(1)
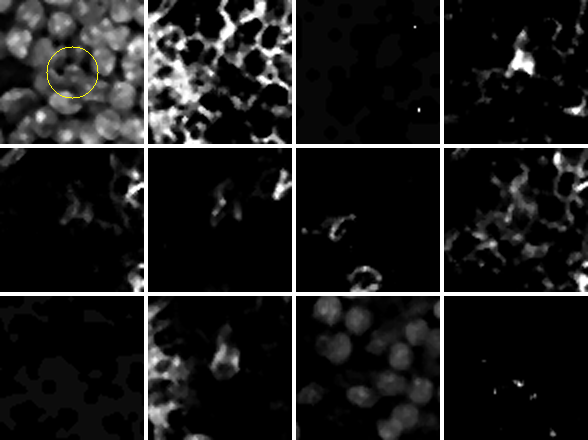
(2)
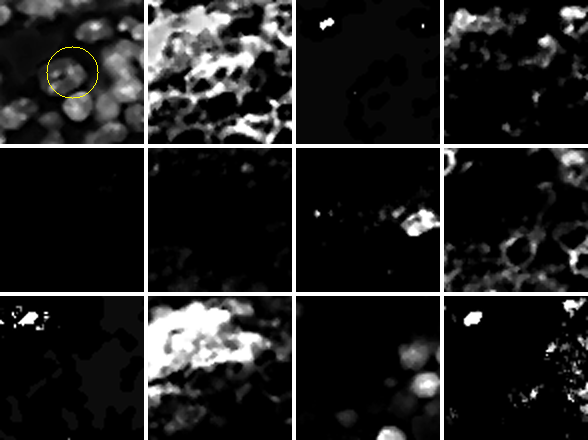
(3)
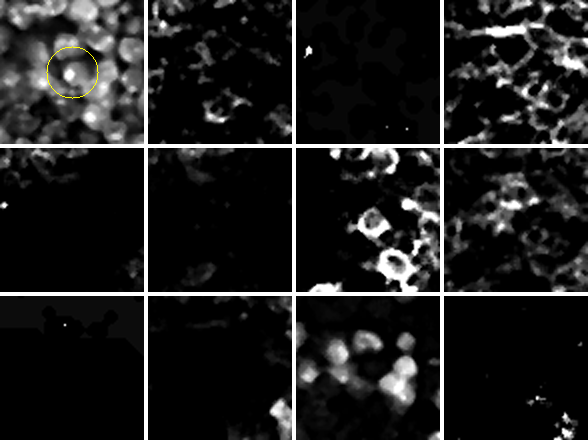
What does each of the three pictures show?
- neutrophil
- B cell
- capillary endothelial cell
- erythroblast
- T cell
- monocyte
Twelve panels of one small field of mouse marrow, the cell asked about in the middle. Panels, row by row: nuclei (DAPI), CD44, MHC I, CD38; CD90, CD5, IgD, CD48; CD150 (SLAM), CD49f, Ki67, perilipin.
Picture 1: capillary endothelial cell
Picture 2: neutrophil
Picture 3: B cell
